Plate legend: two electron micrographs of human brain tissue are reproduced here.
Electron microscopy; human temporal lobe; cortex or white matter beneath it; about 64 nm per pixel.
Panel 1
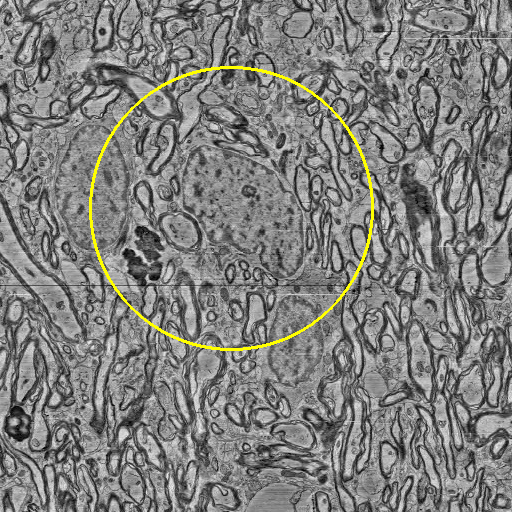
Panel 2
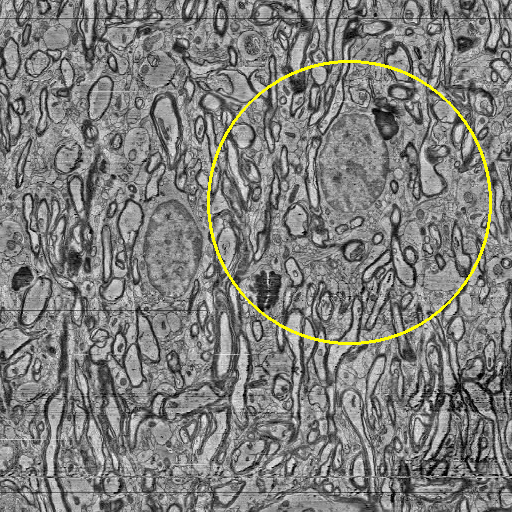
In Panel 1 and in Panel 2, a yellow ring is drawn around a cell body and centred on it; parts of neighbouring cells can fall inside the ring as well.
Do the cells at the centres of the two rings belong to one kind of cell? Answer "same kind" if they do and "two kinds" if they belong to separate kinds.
two kinds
